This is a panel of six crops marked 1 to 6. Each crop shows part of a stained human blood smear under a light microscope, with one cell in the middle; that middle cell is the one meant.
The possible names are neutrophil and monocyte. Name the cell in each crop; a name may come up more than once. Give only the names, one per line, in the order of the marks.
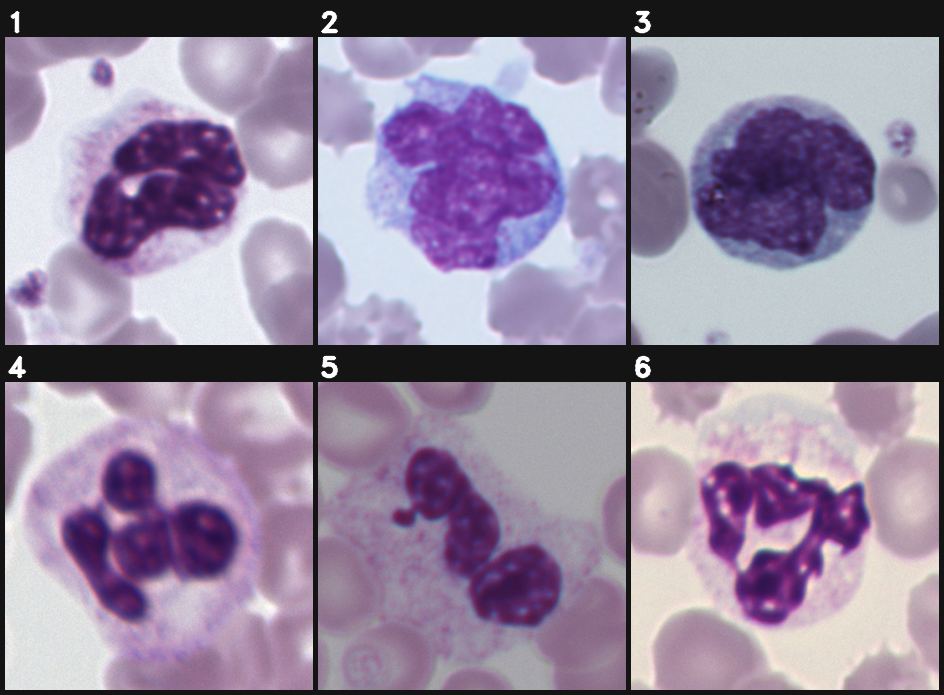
neutrophil
monocyte
monocyte
neutrophil
neutrophil
neutrophil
